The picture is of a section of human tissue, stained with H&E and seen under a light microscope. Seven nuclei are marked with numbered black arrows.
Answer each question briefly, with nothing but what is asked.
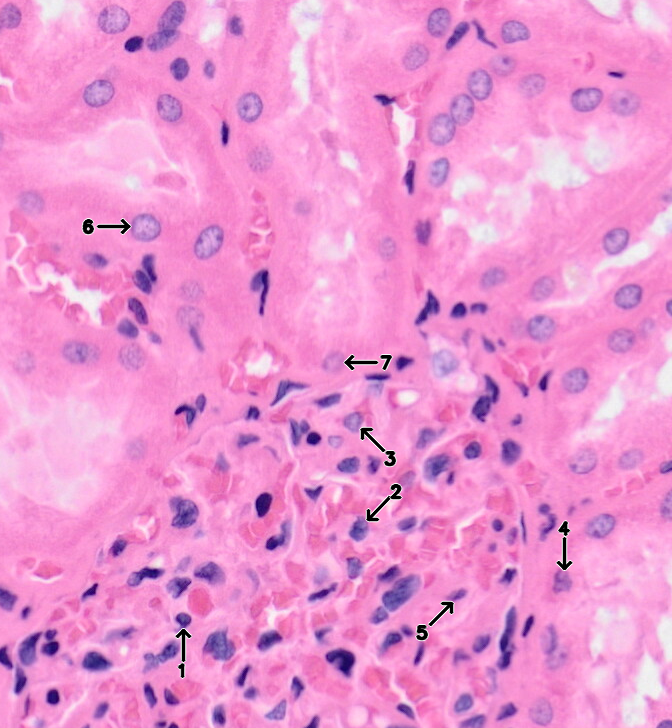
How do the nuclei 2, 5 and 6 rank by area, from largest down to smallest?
6, 2, 5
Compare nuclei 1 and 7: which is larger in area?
7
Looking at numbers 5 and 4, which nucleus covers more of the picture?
4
